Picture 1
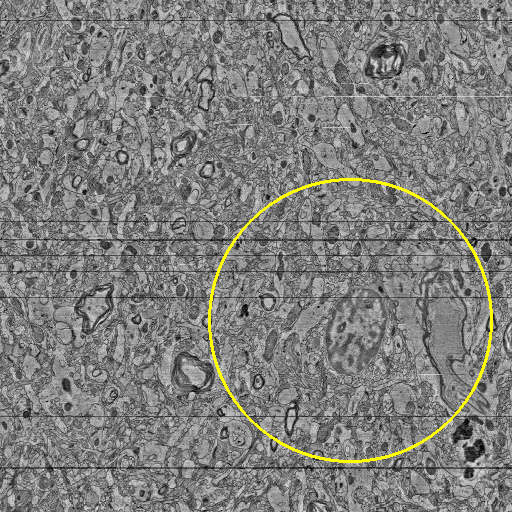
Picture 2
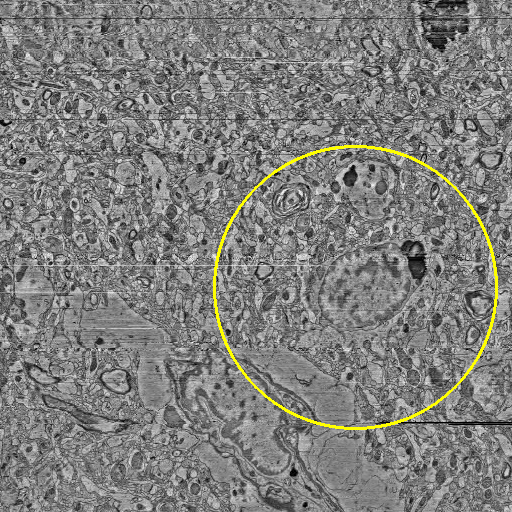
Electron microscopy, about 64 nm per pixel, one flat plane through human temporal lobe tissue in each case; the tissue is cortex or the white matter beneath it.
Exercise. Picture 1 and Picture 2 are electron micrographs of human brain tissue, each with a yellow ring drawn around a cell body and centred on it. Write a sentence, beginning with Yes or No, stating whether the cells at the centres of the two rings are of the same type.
Yes, the cells at the centres of both rings are of the same type.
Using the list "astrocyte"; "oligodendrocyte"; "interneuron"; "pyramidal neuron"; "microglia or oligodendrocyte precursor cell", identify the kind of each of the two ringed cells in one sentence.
Each of the ringed cells, first and second, is an oligodendrocyte.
